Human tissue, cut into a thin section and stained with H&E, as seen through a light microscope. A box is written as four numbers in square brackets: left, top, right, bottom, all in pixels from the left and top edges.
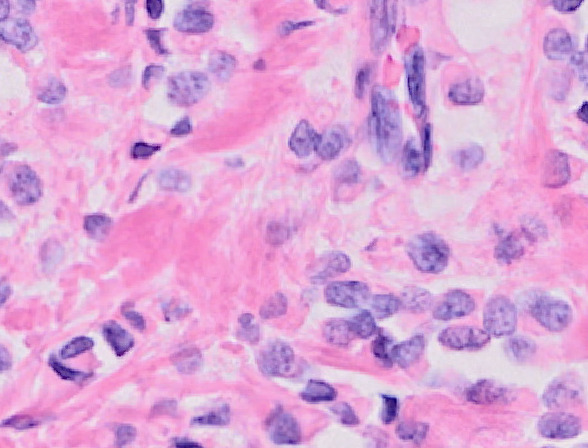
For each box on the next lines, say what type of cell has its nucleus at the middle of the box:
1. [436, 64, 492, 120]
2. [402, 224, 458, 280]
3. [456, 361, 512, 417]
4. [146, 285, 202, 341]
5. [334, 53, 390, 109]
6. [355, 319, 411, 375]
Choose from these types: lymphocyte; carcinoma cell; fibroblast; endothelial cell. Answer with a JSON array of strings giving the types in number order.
["carcinoma cell", "carcinoma cell", "carcinoma cell", "fibroblast", "endothelial cell", "carcinoma cell"]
